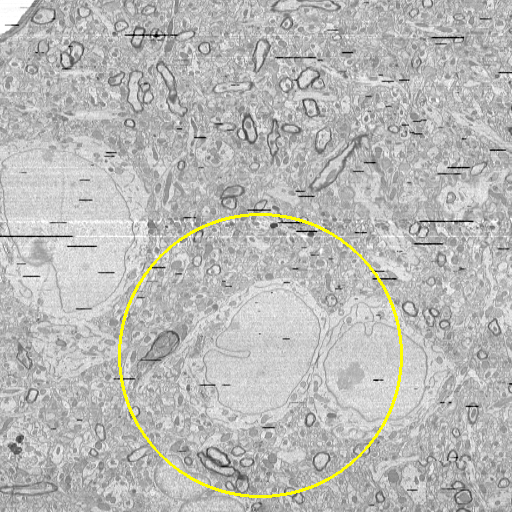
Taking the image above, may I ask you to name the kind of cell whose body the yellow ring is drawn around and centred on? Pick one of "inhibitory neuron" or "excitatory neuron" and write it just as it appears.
excitatory neuron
